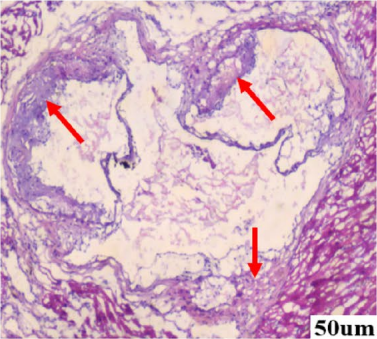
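This cross-section of the aortic root shows a vessel wall with lipid plaques bulging into the lumen. In several places the purple-stained wall is thickened and loosely organised, with many pale vacuoles giving it a disordered, foamy appearance. These thickened segments protrude inward from the wall toward the pale lumen.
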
